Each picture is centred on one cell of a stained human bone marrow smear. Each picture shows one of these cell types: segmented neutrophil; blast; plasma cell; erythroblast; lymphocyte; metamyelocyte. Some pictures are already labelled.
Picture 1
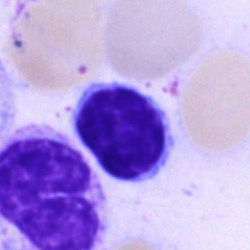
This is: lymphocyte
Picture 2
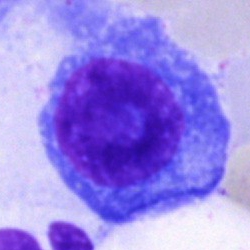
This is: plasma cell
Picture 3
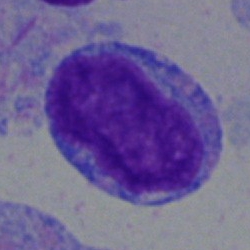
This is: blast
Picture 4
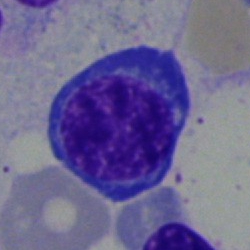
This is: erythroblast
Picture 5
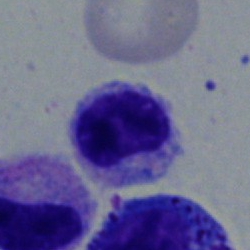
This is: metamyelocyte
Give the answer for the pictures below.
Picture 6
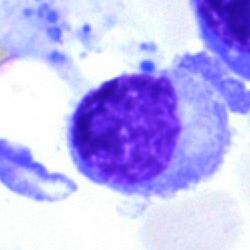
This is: lymphocyte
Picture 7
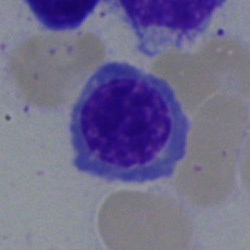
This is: erythroblast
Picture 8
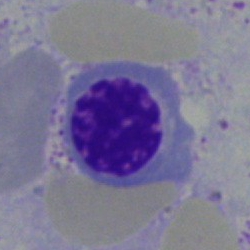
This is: erythroblast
